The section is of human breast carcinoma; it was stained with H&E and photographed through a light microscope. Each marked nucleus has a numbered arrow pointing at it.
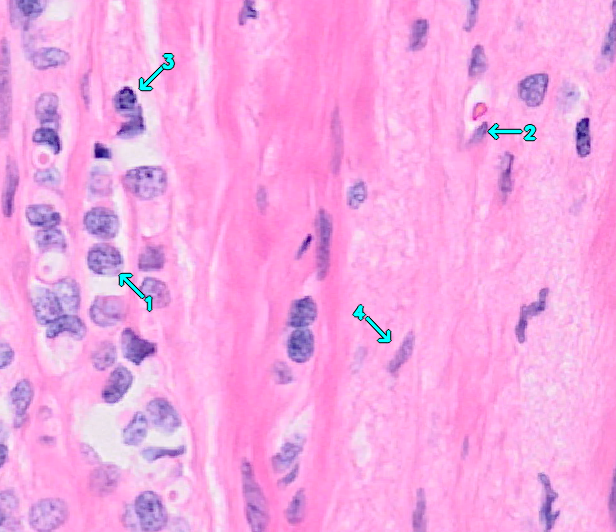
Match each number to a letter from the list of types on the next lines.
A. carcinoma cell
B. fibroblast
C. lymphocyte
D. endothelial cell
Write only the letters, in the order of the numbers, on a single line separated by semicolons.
A; D; C; B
